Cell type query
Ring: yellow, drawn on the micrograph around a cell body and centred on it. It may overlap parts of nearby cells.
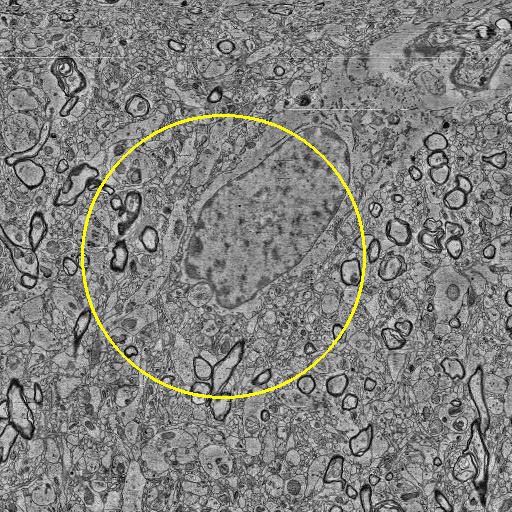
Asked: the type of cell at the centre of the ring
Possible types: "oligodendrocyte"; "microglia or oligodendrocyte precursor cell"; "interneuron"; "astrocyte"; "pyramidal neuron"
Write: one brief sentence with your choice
The ring marks a microglial cell or oligodendrocyte precursor cell.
